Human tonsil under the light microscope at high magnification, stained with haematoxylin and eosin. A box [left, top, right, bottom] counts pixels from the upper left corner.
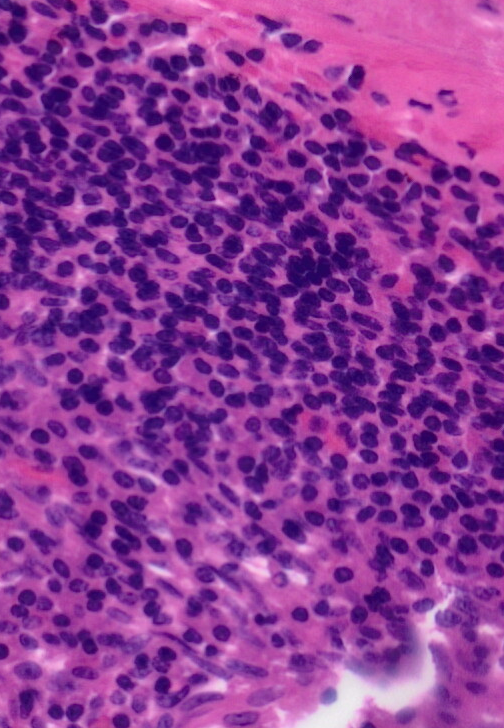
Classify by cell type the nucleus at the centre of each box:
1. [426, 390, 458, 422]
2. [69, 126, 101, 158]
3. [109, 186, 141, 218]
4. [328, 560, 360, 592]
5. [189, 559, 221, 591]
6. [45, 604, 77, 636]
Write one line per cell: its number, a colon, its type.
1: small lymphocyte
2: small lymphocyte
3: small lymphocyte
4: plasma cell
5: plasma cell
6: plasma cell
